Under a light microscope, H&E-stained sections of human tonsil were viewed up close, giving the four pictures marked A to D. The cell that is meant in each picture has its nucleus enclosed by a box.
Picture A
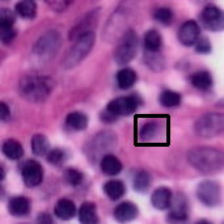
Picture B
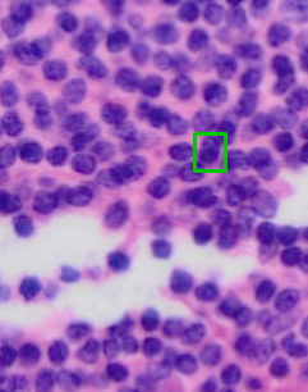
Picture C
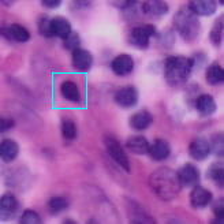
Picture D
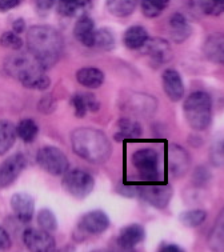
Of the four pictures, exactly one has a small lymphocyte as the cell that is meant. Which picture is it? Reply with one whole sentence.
The picture with the small lymphocyte is B.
